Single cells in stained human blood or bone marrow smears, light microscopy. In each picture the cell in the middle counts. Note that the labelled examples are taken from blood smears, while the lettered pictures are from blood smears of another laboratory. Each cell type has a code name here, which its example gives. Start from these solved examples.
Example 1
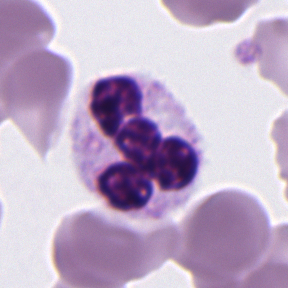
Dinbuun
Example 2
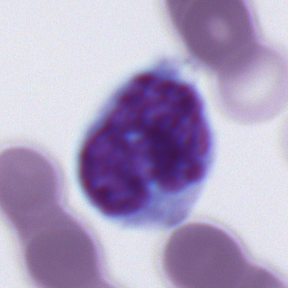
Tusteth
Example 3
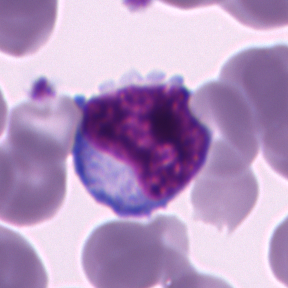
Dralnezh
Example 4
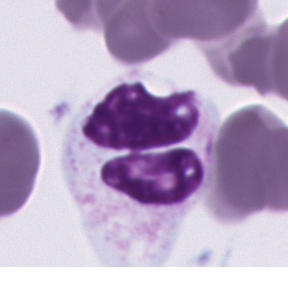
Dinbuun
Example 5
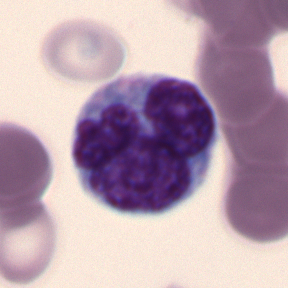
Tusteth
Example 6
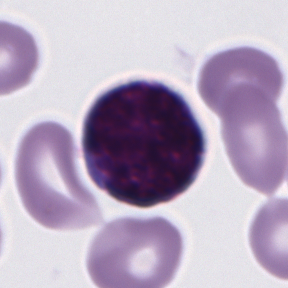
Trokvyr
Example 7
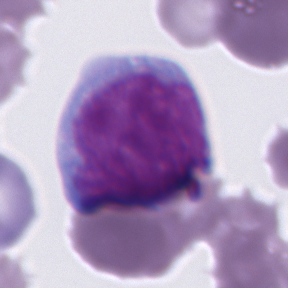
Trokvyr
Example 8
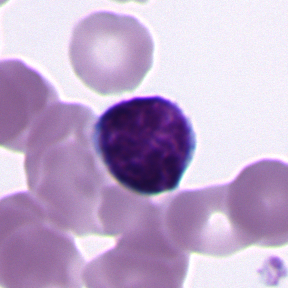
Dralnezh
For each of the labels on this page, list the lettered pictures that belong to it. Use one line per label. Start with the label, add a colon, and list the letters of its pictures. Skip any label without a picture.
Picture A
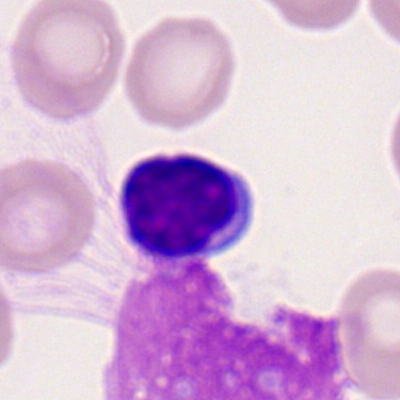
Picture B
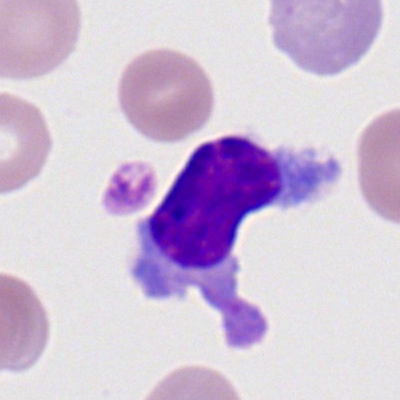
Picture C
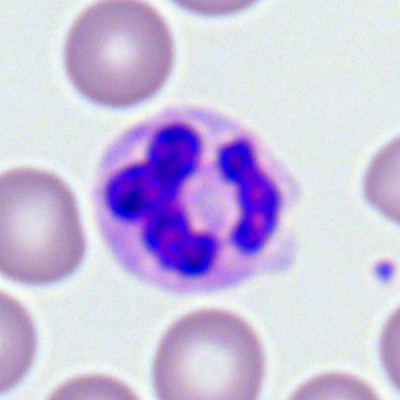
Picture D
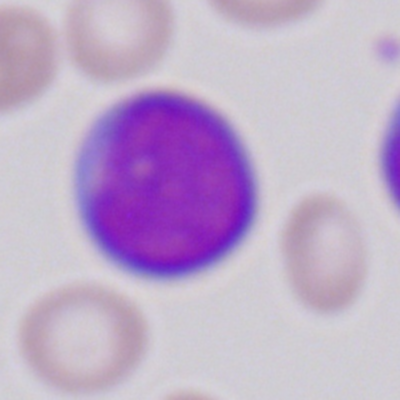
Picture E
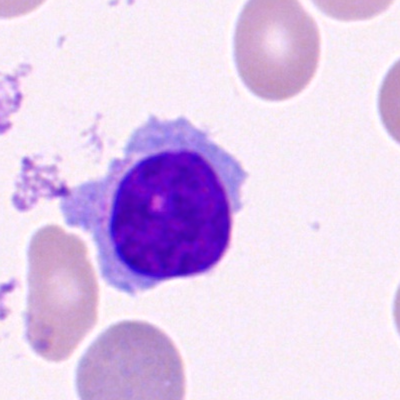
Dinbuun: C
Dralnezh: A, B, E
Trokvyr: D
